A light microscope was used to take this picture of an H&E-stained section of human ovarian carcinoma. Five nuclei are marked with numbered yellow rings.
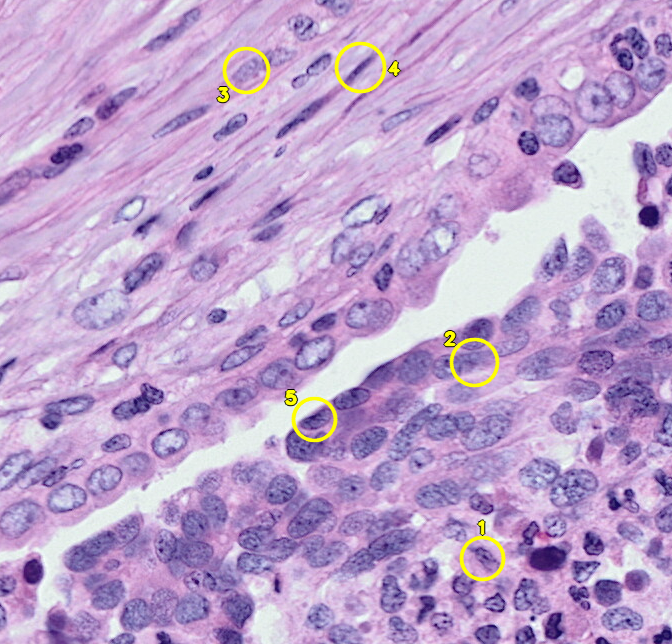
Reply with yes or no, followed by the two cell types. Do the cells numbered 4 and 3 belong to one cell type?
Yes, both are fibroblasts.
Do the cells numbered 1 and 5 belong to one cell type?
No, cell 1 is a macrophage or monocyte and cell 5 is a carcinoma cell.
